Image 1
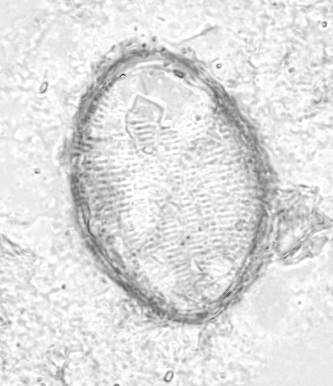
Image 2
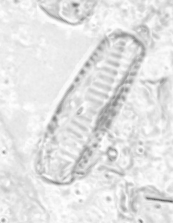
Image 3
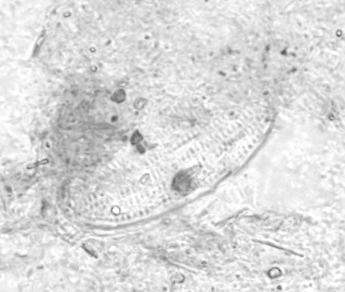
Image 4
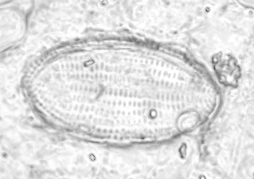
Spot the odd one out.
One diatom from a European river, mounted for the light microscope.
Picture 2 (Gomphonella among Cocconeis).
